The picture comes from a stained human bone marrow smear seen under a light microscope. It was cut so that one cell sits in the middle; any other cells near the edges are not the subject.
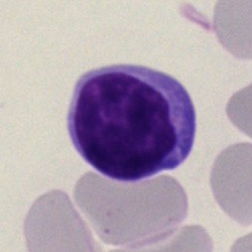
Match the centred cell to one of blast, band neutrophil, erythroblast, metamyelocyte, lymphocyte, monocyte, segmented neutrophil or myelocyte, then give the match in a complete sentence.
The cell positioned in the middle of the field is a lymphocyte.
